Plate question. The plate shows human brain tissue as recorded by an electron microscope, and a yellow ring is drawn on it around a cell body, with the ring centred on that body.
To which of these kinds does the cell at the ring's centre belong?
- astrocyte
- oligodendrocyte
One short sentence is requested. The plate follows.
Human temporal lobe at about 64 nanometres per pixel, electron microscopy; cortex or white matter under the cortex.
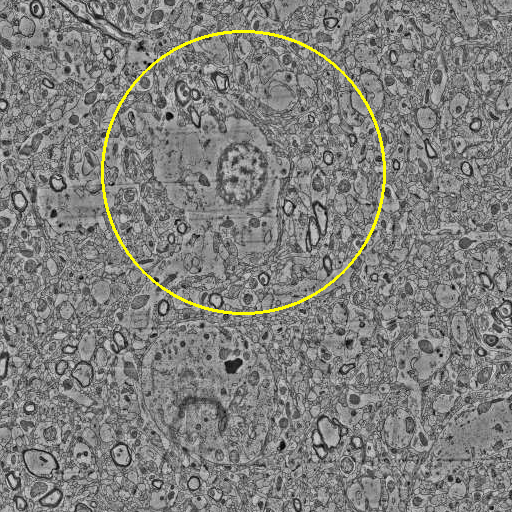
The cell at the ring's centre is an astrocyte.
